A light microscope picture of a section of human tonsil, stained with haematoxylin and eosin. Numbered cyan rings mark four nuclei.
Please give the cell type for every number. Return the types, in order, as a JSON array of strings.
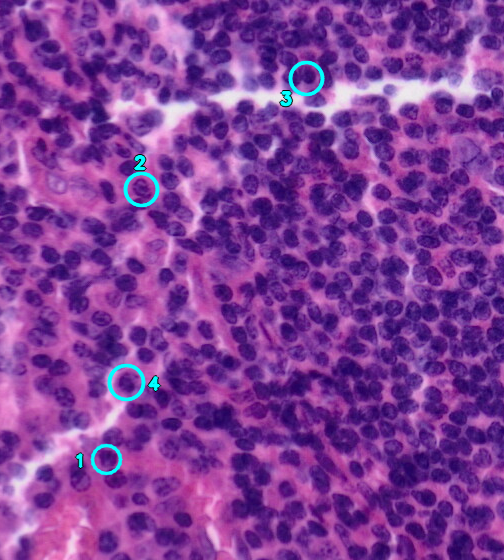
["plasma cell", "plasma cell", "small lymphocyte", "plasma cell"]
